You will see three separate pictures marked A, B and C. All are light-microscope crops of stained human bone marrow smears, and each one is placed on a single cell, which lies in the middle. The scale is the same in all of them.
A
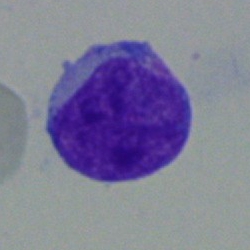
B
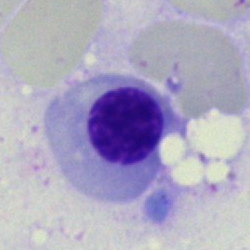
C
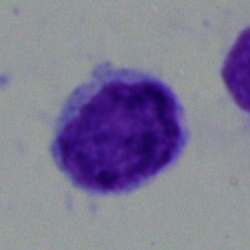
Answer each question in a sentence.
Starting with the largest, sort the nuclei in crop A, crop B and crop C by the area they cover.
Largest first: A, C, B.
